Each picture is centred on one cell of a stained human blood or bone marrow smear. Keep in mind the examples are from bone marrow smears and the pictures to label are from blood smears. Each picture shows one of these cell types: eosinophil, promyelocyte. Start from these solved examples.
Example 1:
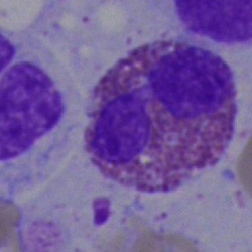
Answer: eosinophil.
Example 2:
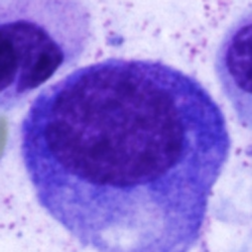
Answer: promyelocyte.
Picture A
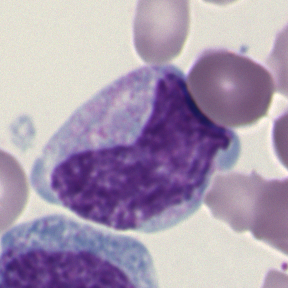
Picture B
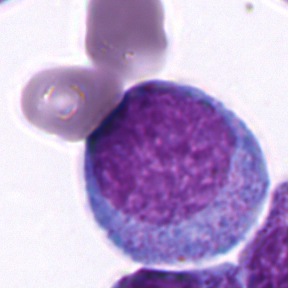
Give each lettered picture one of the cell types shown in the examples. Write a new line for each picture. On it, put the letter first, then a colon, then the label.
A: promyelocyte.
B: promyelocyte.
